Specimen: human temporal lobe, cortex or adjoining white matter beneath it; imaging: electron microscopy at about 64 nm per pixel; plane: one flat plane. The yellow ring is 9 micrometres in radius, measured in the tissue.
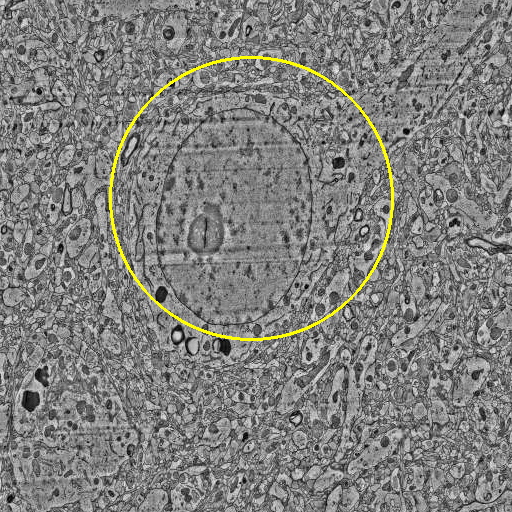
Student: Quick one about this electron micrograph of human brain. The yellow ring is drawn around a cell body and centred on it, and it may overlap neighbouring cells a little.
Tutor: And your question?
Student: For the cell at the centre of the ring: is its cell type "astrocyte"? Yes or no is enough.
no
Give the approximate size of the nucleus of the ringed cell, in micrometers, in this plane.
In this plane the nucleus is about 14 micrometres by 10.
